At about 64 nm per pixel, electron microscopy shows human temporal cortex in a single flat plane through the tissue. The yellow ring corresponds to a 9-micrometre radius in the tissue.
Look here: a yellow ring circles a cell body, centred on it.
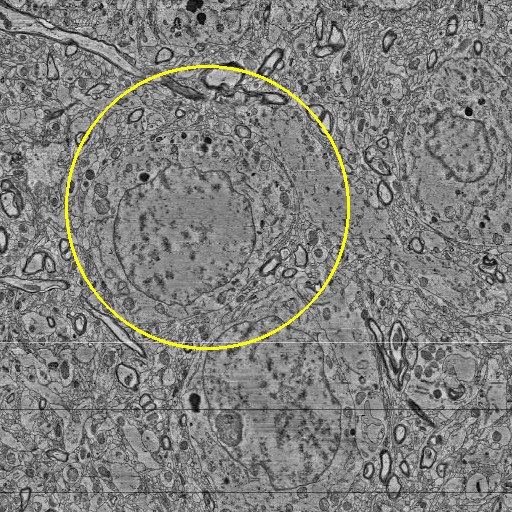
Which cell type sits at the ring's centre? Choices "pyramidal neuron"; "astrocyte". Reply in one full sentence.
The cell at the centre of the yellow ring in the picture is a pyramidal neuron.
